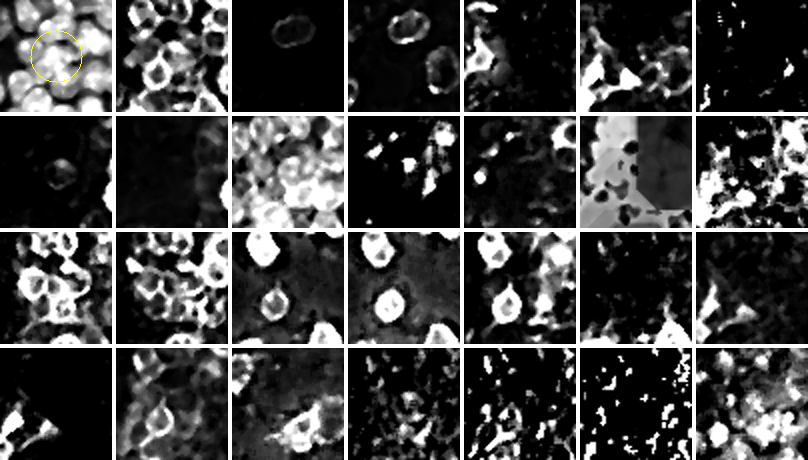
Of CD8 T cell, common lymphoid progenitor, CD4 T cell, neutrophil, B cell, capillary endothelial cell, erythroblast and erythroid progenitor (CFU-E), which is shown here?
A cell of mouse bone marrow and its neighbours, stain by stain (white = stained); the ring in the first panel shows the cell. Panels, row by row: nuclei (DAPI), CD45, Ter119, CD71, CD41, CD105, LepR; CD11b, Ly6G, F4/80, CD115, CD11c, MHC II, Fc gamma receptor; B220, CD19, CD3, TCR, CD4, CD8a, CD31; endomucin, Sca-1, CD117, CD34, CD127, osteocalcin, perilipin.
B cell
